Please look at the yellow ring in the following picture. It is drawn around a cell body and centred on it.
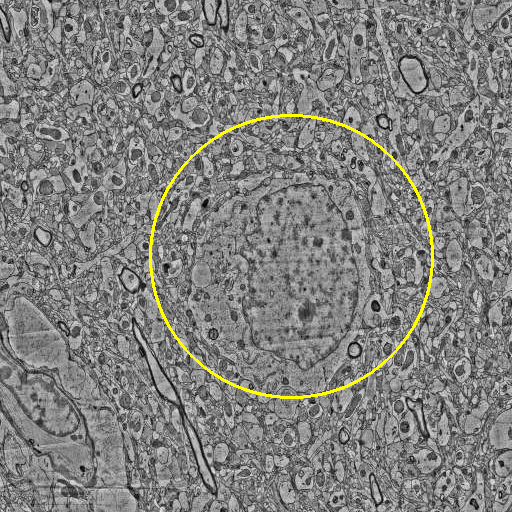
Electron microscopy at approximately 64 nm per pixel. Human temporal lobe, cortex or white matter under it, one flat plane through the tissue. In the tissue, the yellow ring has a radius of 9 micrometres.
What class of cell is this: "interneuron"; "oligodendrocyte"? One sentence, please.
The ring surrounds the cell body of an interneuron.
